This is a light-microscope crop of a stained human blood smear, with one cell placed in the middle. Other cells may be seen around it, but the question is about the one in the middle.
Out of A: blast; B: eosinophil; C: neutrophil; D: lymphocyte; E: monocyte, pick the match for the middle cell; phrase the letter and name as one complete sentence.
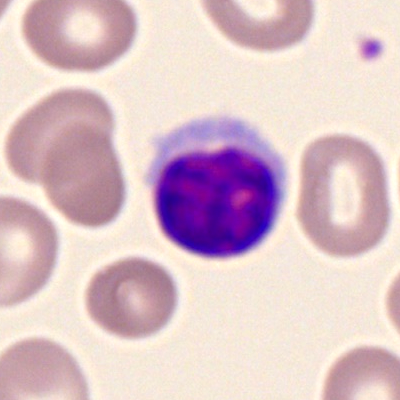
Since the middle cell is a lymphocyte, option D is the right one.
